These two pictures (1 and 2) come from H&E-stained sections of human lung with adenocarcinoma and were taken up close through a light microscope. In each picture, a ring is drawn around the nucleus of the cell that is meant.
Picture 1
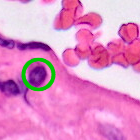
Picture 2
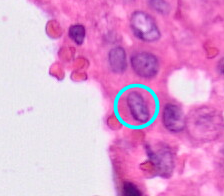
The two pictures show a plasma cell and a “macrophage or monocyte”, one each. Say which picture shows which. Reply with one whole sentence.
Picture 1 shows a plasma cell and picture 2 shows a “macrophage or monocyte”.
